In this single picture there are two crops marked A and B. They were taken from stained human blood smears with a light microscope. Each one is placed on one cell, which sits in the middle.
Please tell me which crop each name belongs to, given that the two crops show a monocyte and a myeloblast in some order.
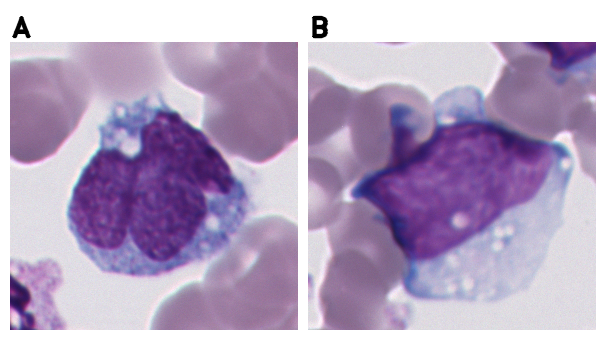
A: monocyte
B: myeloblast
